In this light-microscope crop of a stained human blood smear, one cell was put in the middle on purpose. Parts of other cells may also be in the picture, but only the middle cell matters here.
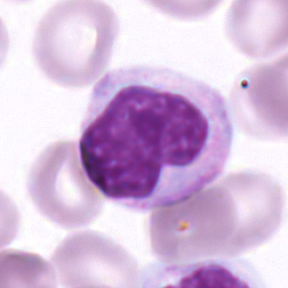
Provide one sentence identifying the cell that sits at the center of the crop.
The identification for the central cell is a metamyelocyte.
